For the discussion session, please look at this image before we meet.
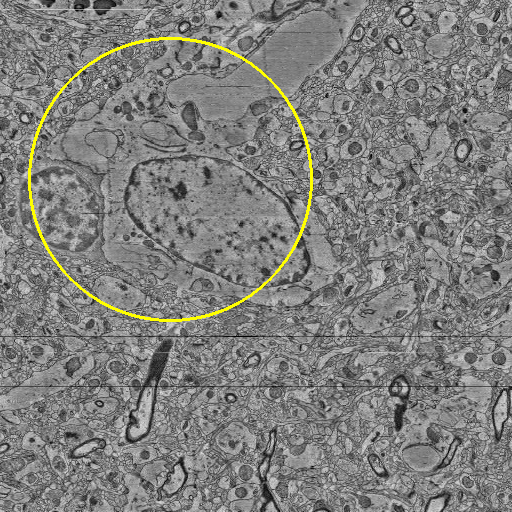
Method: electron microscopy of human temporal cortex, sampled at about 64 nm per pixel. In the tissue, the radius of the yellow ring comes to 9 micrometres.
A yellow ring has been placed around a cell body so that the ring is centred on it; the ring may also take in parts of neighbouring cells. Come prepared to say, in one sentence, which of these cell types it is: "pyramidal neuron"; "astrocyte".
The cell centred in the ring is an astrocyte.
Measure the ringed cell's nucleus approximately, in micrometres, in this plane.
In this plane the nucleus is clearly longer than it is wide: roughly 13 by 7 micrometres.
